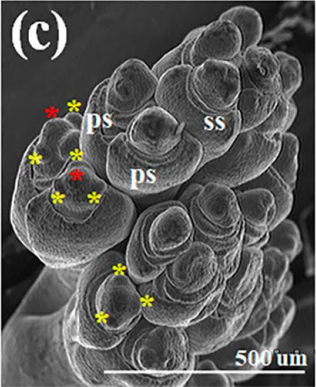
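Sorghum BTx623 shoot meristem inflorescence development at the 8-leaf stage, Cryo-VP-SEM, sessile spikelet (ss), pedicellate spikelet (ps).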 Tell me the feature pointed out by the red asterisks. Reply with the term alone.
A: Pistil primordia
